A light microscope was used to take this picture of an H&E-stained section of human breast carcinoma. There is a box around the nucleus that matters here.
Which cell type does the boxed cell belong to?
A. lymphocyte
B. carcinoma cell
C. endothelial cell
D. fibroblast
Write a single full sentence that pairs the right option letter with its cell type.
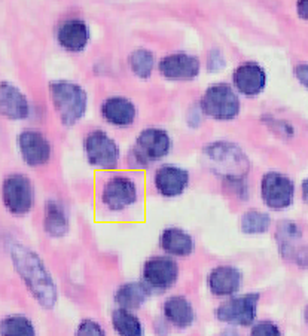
Option A is the correct one: the boxed cell is a lymphocyte.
